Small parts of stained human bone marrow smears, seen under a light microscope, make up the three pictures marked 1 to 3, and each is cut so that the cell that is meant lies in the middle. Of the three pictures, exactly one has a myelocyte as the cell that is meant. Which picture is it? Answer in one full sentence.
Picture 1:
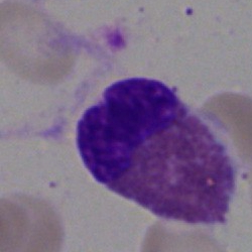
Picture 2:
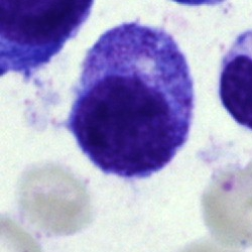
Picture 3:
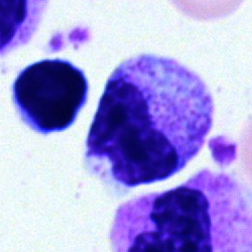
The myelocyte is the one in picture 2.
